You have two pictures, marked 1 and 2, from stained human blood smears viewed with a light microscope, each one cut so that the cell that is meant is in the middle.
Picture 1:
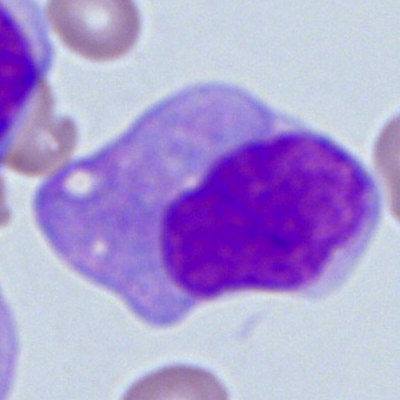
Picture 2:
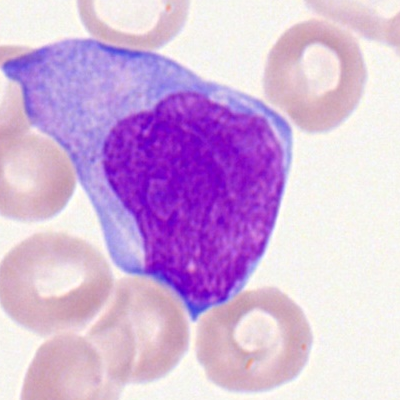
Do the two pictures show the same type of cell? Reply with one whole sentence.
No, they differ: the cell is a monocyte in picture 1 and a myeloblast in picture 2.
